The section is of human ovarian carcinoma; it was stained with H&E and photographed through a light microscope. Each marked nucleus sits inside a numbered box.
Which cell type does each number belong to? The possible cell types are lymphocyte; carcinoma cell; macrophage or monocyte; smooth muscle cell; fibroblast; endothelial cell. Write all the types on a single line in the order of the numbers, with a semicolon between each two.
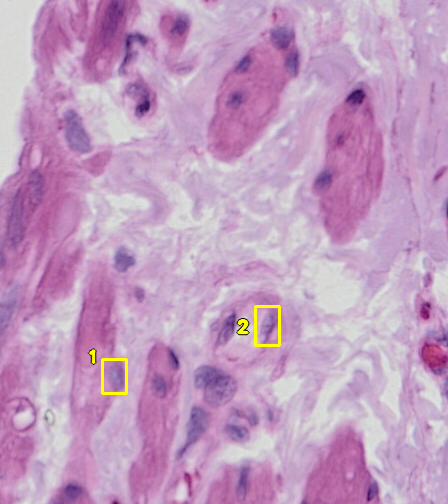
smooth muscle cell; endothelial cell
